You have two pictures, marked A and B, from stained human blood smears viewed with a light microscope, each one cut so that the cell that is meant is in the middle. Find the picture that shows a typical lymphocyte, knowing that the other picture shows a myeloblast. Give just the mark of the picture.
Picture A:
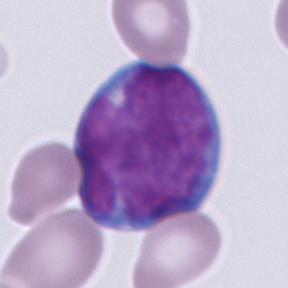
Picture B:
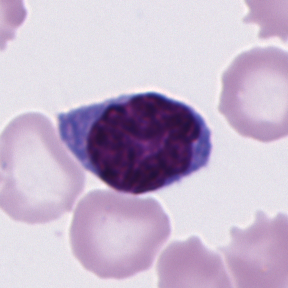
B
